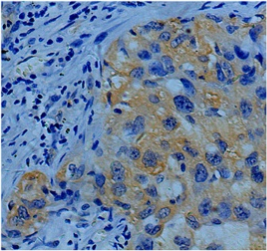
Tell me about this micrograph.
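The tumour cells are large, with round to oval blue nuclei and abundant cytoplasm that is diffusely stained brown. Around the nest, the stroma holds small spindle-shaped nuclei and is largely unstained. A smaller brown-stained group of tumour cells lies at the lower left.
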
